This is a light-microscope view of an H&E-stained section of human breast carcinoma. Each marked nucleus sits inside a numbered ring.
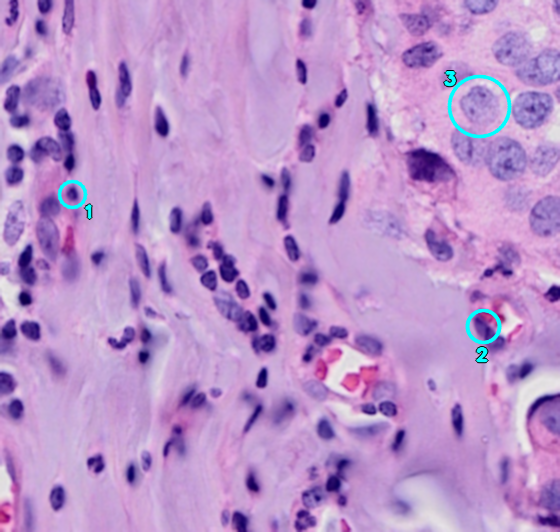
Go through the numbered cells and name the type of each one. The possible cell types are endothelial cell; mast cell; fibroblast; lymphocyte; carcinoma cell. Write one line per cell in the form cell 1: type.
cell 1: lymphocyte
cell 2: endothelial cell
cell 3: carcinoma cell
